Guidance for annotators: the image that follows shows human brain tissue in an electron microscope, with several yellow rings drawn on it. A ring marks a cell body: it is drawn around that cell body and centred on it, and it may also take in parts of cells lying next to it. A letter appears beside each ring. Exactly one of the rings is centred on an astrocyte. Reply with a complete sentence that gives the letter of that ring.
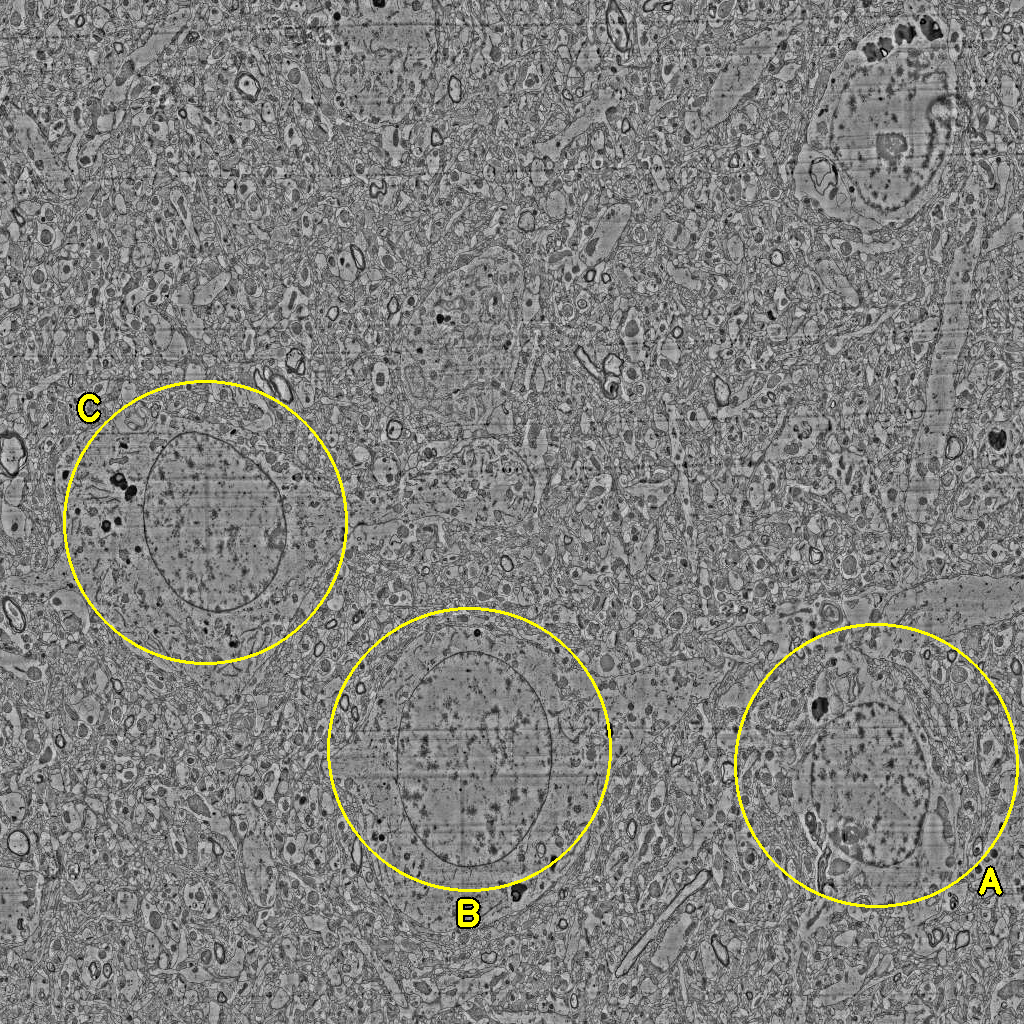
The ring lettered A is centred on that cell.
